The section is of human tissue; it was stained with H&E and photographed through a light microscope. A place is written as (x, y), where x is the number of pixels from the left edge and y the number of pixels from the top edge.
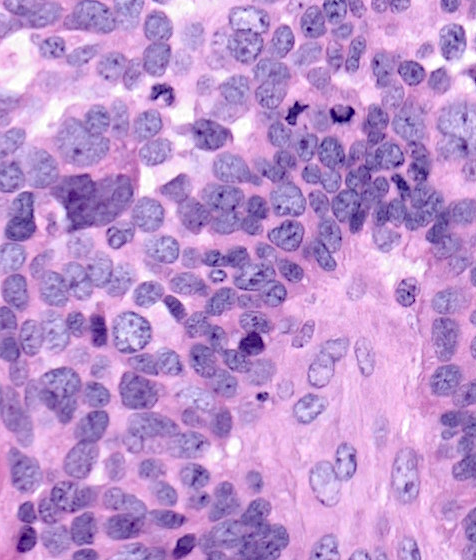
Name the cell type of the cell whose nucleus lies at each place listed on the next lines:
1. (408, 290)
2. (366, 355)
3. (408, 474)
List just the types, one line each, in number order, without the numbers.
macrophage or monocyte
fibroblast
fibroblast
